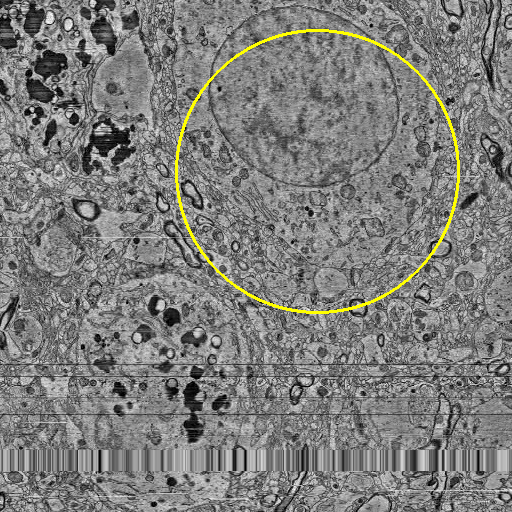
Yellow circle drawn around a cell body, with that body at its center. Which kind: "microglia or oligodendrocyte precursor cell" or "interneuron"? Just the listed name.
interneuron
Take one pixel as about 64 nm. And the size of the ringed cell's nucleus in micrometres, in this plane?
Approximately 12 micrometers across in this plane.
